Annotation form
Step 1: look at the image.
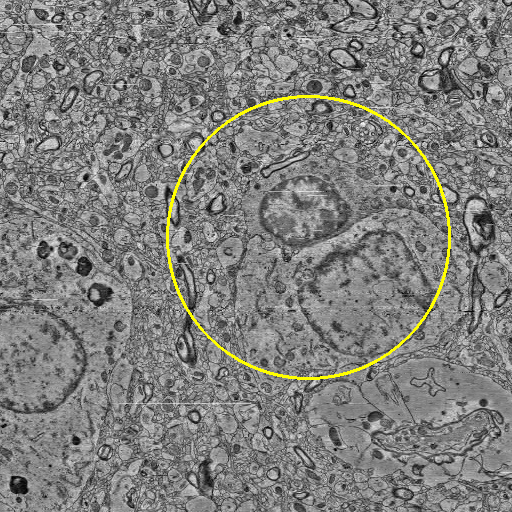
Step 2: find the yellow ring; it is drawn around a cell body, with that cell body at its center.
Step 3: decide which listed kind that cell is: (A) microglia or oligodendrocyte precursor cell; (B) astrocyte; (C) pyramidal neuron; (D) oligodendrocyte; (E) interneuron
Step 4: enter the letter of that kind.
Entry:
D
